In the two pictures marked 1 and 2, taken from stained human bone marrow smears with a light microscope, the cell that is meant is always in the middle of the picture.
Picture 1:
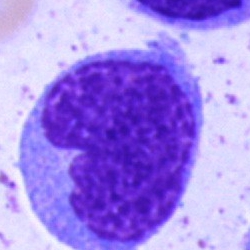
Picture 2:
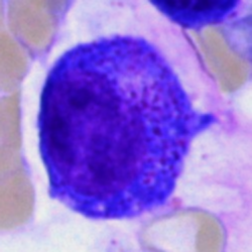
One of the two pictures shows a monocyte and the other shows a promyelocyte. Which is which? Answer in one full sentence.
The cell in picture 1 is a monocyte, and the one in picture 2 is a promyelocyte.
